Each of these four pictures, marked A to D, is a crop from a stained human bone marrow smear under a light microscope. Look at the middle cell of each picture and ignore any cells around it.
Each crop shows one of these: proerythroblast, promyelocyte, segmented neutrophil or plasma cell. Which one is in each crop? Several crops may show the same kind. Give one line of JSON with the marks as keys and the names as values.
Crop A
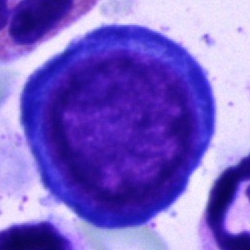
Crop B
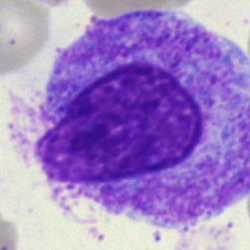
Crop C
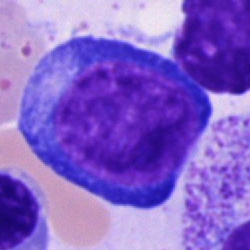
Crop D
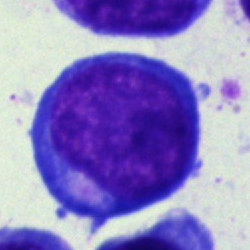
{"A": "proerythroblast", "B": "promyelocyte", "C": "proerythroblast", "D": "proerythroblast"}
